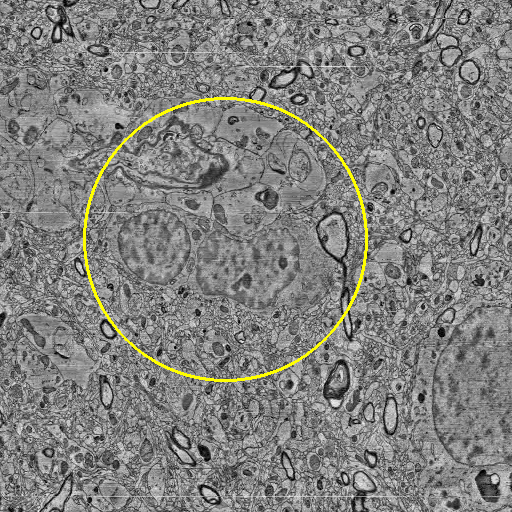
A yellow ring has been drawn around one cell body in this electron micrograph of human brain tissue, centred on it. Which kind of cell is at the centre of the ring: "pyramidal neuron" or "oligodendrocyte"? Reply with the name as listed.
oligodendrocyte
